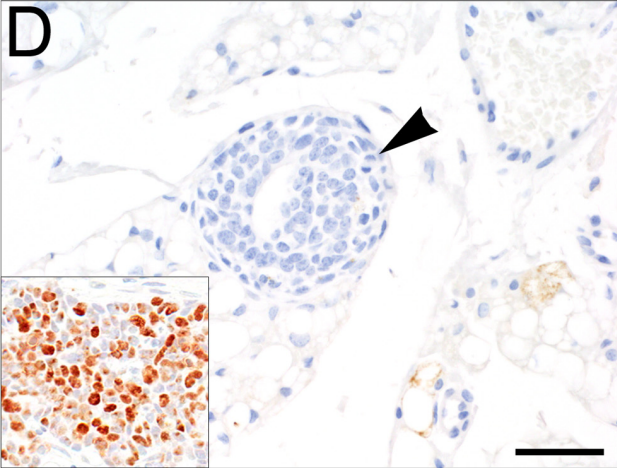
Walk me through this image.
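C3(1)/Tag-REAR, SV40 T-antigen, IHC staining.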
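This view shows a hyperplastic mammary duct whose epithelial cells are stacked in several layers around a small central lumen. The nuclei are oval and stain only blue with the counterstain, with no brown staining in them. The duct is set in pale connective tissue with scattered elongated stromal nuclei and nearby vacuolated fat cells. In the corner inset, densely packed tumor cells show strong brown staining of many of their nuclei, in contrast to the unstained duct.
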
